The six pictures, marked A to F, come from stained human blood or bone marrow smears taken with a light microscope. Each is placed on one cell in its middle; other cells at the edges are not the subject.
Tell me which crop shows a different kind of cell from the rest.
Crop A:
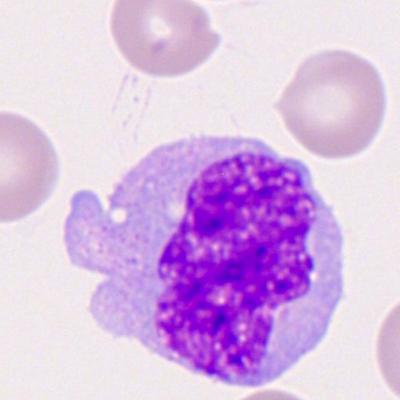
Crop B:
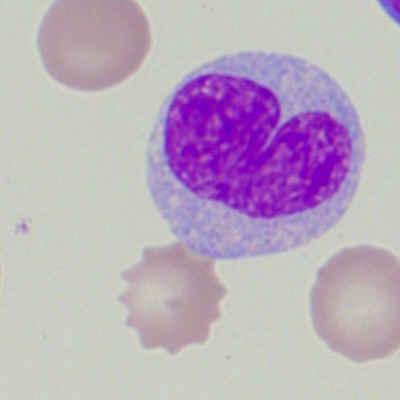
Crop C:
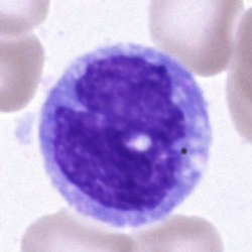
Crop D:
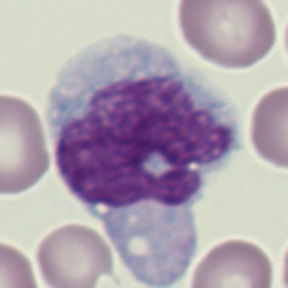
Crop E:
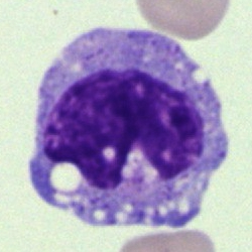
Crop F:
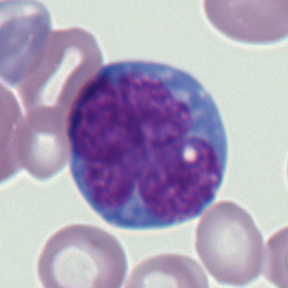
F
